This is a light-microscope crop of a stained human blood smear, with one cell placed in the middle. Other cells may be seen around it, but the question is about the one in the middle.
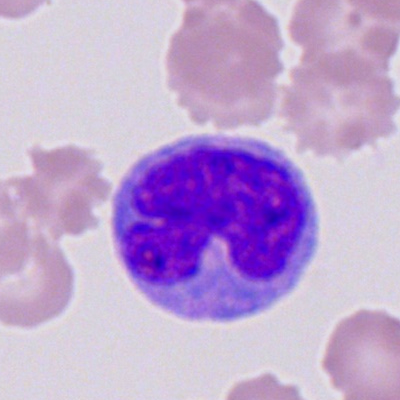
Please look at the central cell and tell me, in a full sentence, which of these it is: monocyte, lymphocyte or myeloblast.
The central cell, amid any neighbouring cells, is a monocyte.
